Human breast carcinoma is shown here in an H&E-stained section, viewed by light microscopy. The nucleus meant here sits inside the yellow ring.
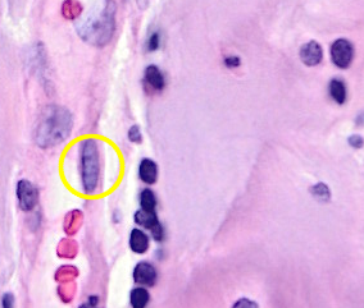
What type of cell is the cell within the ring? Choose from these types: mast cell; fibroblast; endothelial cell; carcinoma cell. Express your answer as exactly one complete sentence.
Right, so the cell within the ring is an endothelial cell, to answer that.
